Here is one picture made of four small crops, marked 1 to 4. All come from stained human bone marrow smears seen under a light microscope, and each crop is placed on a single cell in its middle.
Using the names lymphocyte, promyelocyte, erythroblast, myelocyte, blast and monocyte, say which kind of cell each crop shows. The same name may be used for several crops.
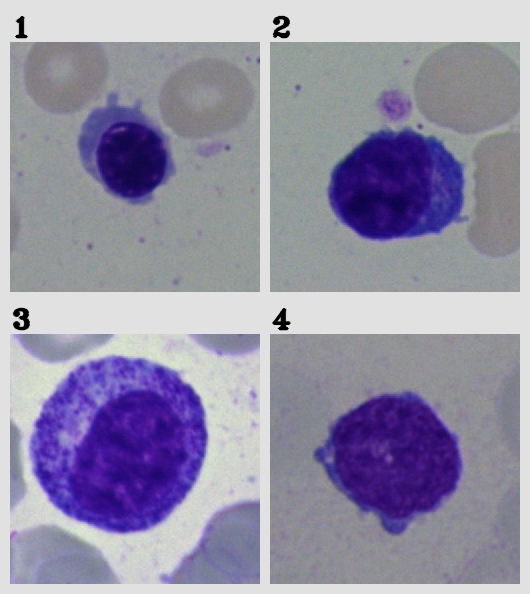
1: erythroblast
2: lymphocyte
3: promyelocyte
4: blast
